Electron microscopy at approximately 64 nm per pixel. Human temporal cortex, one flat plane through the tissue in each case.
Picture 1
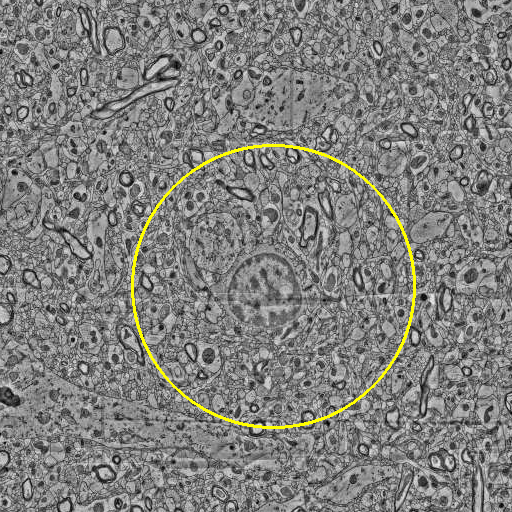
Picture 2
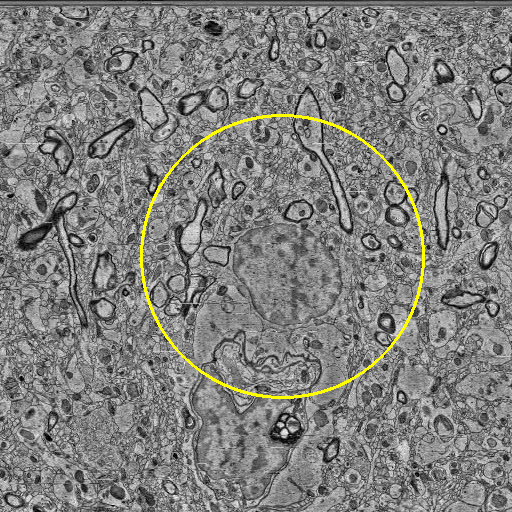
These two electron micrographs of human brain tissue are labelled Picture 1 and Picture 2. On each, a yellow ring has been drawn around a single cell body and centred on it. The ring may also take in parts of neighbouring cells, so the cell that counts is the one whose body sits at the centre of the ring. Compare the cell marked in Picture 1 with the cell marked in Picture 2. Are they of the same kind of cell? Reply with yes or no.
yes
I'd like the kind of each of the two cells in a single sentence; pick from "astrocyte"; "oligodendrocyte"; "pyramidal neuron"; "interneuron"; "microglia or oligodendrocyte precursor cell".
In the first picture and in the second, the ring is centred on an oligodendrocyte.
